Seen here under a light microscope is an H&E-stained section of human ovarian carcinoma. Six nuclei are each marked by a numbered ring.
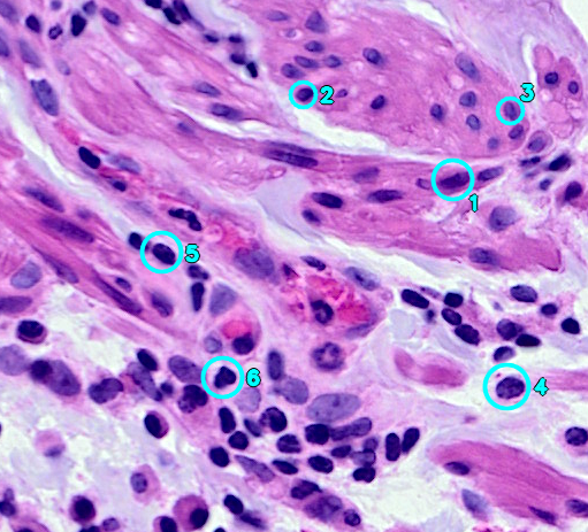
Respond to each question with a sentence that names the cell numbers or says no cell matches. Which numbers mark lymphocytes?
Cells 4, 5 and 6 are recognised here as lymphocytes.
